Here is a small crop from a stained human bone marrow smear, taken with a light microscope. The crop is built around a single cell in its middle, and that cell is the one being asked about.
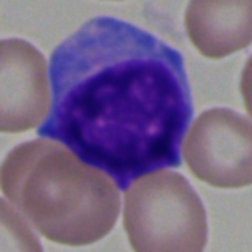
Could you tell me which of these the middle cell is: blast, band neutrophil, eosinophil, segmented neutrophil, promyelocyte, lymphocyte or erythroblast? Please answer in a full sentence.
By type, the central cell of the crop is a blast.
